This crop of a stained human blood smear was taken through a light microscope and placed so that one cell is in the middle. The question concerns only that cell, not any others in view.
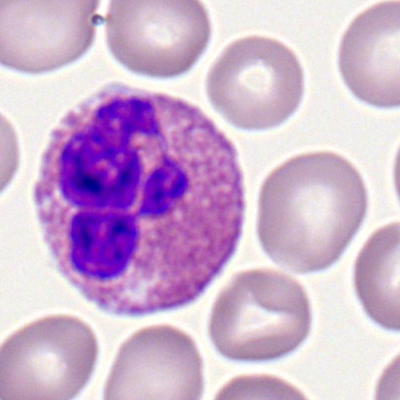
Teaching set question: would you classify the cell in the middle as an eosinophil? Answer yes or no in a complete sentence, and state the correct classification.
Yes, an eosinophil is present in the middle of the crop.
